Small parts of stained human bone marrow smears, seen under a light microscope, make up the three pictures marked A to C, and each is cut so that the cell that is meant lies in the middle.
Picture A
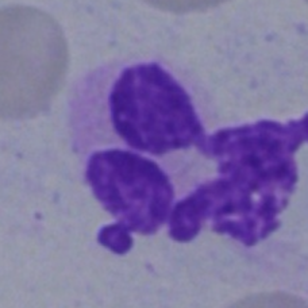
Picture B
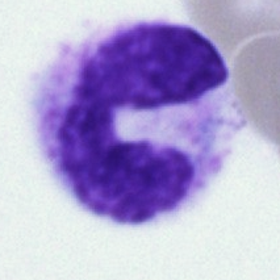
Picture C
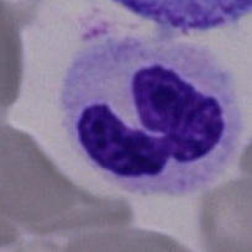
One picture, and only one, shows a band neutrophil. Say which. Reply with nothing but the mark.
B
